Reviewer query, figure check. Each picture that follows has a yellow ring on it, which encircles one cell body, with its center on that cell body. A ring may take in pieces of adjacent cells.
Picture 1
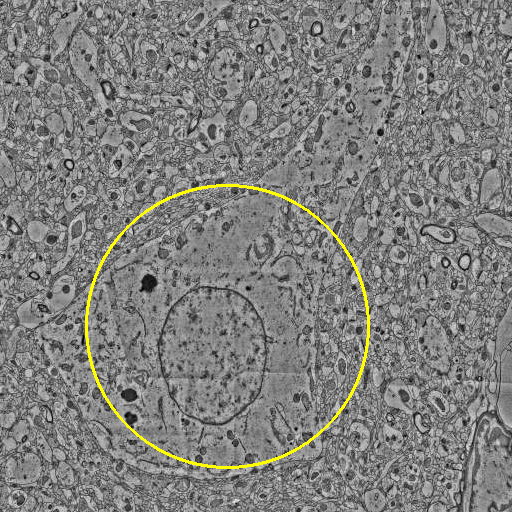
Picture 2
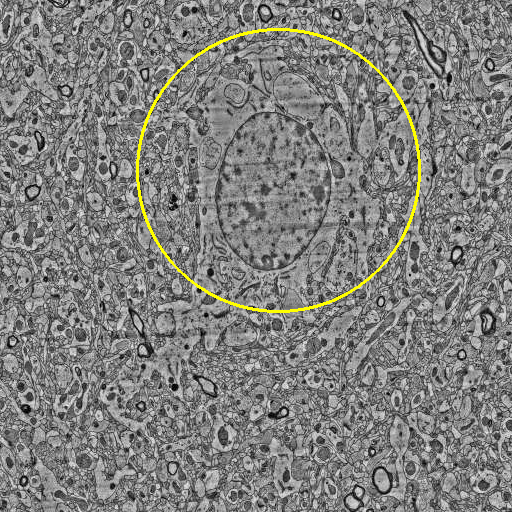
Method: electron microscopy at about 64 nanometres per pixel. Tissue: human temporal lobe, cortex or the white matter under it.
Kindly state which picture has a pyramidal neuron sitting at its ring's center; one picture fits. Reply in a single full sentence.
In picture 1, the cell at the center of the ring is the requested one.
